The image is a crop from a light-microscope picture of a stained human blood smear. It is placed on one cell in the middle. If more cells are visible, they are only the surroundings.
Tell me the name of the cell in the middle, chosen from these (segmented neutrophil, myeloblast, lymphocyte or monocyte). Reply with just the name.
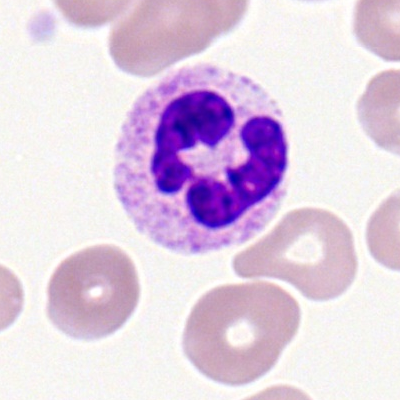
segmented neutrophil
